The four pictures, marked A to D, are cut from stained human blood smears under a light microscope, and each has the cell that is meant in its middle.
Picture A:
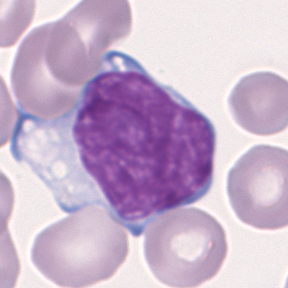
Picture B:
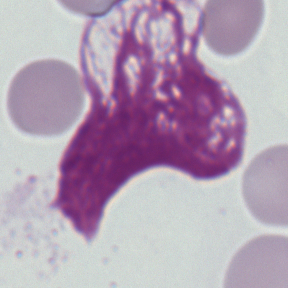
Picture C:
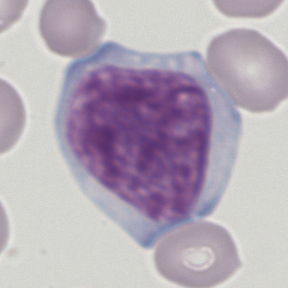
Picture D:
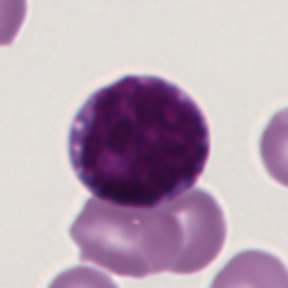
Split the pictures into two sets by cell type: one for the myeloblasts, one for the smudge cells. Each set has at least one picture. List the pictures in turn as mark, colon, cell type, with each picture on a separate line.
A: myeloblast
B: smudge cell
C: myeloblast
D: myeloblast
